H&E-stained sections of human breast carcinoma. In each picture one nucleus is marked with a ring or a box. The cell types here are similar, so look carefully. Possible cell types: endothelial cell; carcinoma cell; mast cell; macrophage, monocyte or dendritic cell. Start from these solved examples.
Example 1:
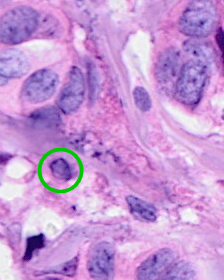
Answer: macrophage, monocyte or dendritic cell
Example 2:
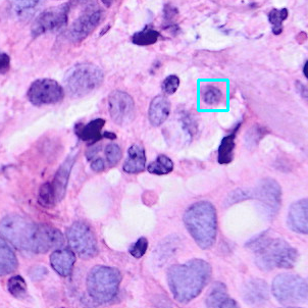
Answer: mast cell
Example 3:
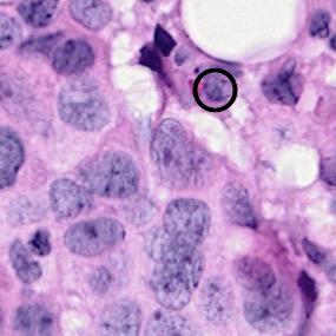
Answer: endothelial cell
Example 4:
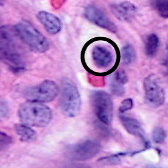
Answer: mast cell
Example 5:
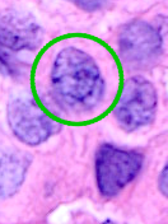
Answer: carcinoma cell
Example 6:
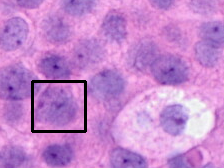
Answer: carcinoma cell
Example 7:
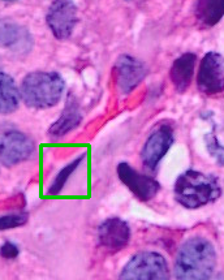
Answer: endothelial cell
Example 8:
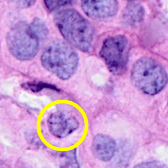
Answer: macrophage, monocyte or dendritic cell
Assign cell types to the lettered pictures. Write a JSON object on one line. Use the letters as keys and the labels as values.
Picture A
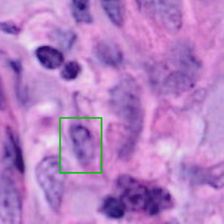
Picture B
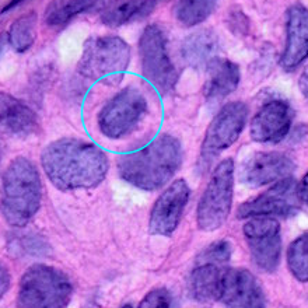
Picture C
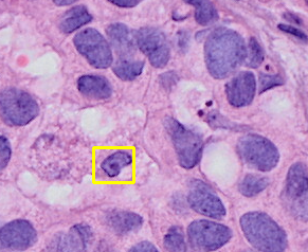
{"A": "macrophage, monocyte or dendritic cell", "B": "carcinoma cell", "C": "macrophage, monocyte or dendritic cell"}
